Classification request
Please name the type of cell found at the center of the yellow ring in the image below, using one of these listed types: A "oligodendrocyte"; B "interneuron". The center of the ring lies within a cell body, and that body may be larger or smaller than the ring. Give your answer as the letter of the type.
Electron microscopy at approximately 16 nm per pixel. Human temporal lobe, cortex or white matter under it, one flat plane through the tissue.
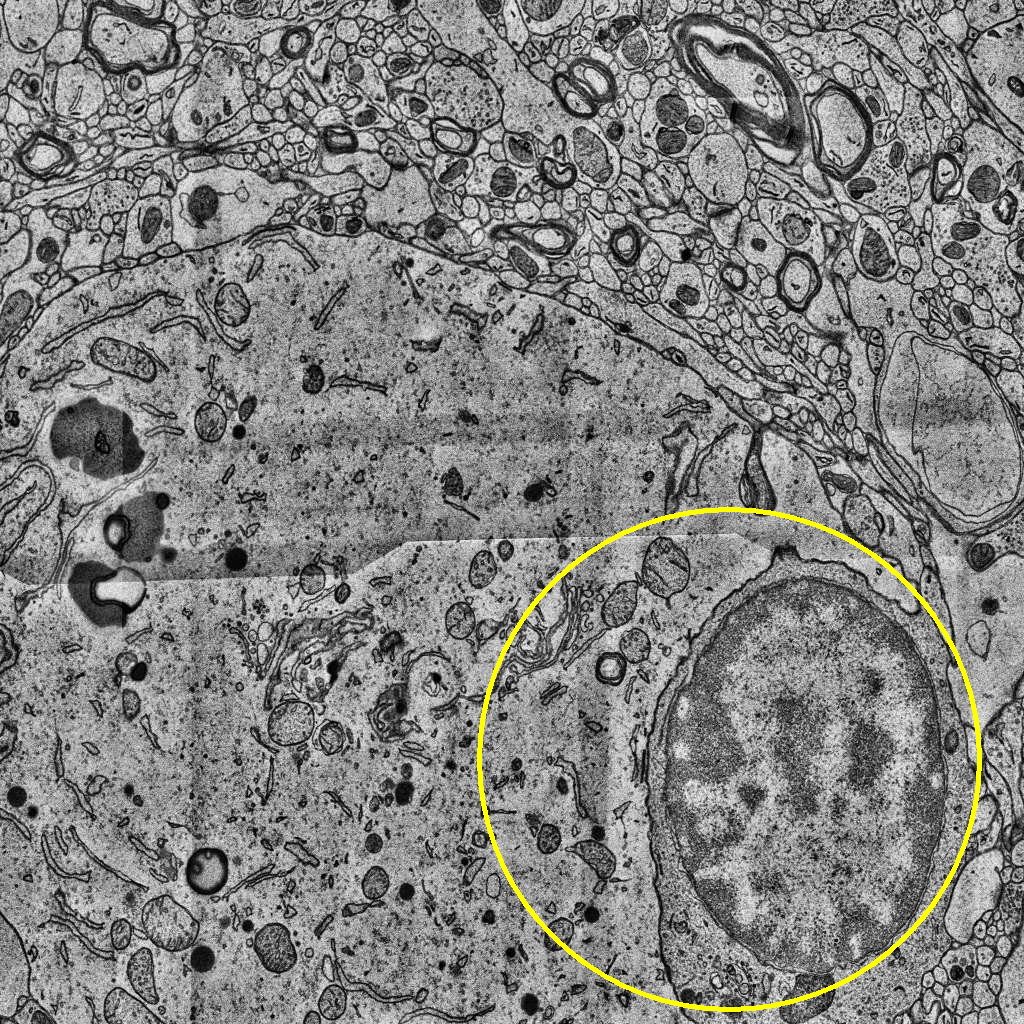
A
